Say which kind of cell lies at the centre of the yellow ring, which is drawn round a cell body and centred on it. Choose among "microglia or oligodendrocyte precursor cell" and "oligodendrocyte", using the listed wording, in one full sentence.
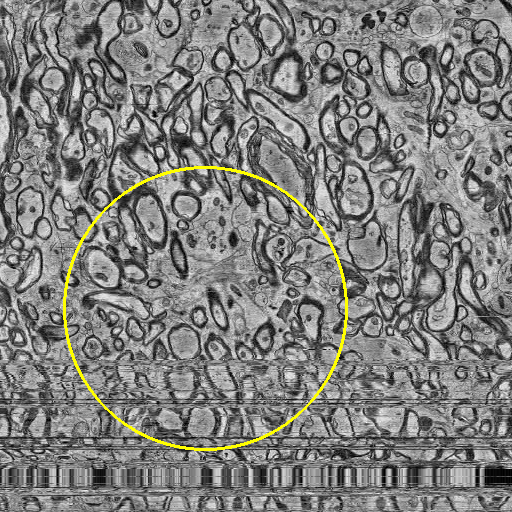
Going by the list, the cell at the yellow ring's centre is a microglial cell or oligodendrocyte precursor cell.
